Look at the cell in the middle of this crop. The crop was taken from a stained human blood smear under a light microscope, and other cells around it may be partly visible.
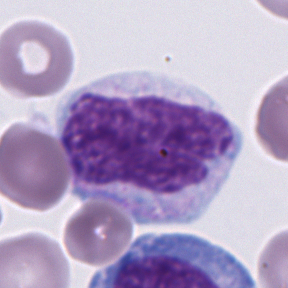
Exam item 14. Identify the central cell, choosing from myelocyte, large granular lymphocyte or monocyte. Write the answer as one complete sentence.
The cell featured at the centre of this crop is a myelocyte.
